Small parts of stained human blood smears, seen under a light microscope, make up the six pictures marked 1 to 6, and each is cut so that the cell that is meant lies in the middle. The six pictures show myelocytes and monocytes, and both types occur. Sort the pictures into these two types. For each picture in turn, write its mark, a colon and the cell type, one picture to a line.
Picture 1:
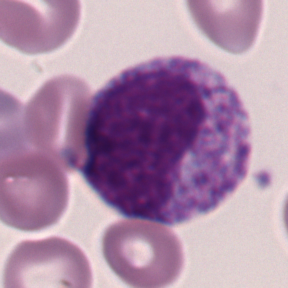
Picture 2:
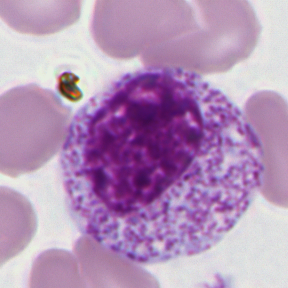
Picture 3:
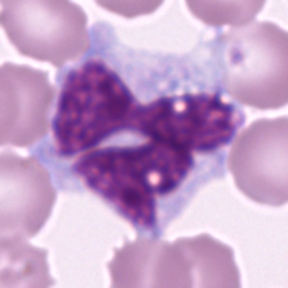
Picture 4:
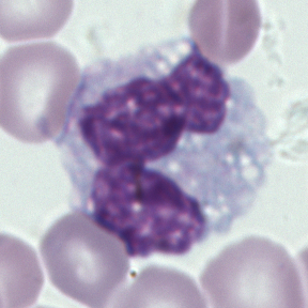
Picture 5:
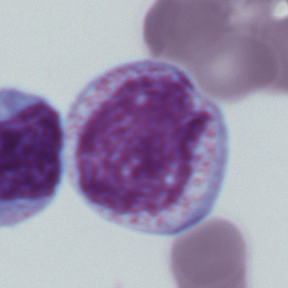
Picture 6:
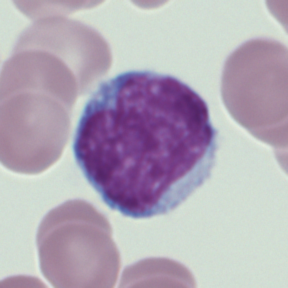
1: myelocyte
2: myelocyte
3: monocyte
4: monocyte
5: myelocyte
6: monocyte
